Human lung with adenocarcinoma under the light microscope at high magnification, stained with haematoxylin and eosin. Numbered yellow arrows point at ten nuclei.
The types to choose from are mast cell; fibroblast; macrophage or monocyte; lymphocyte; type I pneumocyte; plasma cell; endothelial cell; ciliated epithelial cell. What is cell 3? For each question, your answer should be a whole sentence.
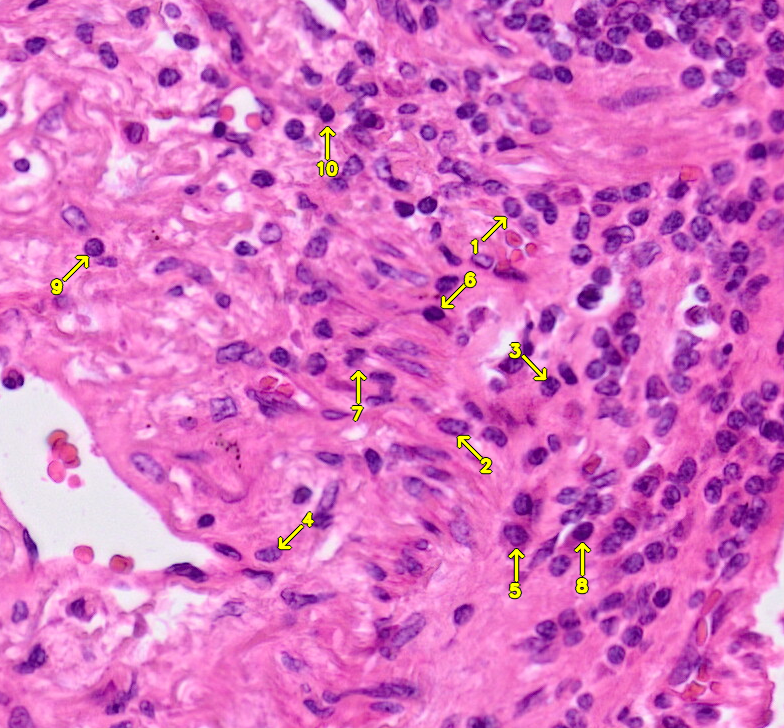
The numbered cell 3 is identified here as a lymphocyte.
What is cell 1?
Number 1 among the marked cells is a lymphocyte.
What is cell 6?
Numbered cell 6 is a plasma cell in this tissue section.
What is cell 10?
Among the marked cells, number 10 is a lymphocyte.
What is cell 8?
Among the marked cells, number 8 is a plasma cell.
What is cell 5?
Cell number 5 in this section is a plasma cell.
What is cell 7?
The correct answer for cell 7 is a plasma cell.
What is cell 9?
The mark numbered 9 indicates the nucleus of a lymphocyte.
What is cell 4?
Belonging to a mast cell is the nucleus that carries the number 4.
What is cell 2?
Cell 2, among those numbered, is a mast cell.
